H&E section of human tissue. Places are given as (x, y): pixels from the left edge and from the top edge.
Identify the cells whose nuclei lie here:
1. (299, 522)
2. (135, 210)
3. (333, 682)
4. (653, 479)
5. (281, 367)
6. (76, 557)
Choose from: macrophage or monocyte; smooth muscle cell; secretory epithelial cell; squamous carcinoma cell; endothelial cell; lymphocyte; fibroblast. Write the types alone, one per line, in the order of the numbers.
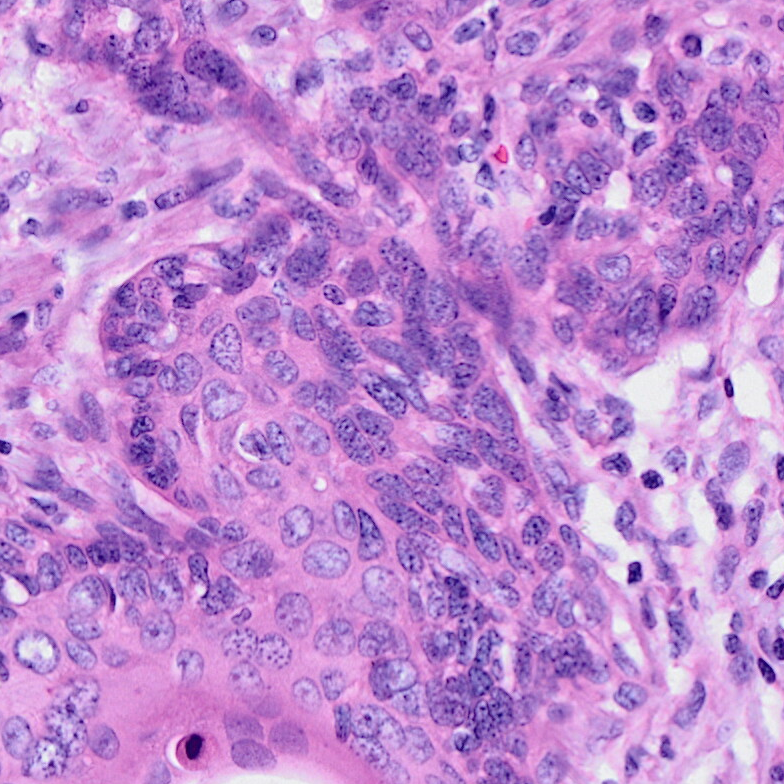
squamous carcinoma cell
lymphocyte
squamous carcinoma cell
lymphocyte
squamous carcinoma cell
squamous carcinoma cell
